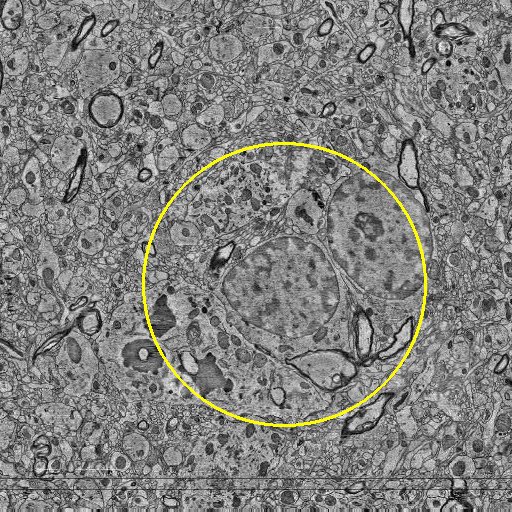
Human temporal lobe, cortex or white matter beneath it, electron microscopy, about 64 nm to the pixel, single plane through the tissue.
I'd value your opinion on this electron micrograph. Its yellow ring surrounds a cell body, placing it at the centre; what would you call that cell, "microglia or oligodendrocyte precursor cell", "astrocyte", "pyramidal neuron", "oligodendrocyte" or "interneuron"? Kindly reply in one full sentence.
It is an oligodendrocyte that sits centred within the yellow ring in this micrograph.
